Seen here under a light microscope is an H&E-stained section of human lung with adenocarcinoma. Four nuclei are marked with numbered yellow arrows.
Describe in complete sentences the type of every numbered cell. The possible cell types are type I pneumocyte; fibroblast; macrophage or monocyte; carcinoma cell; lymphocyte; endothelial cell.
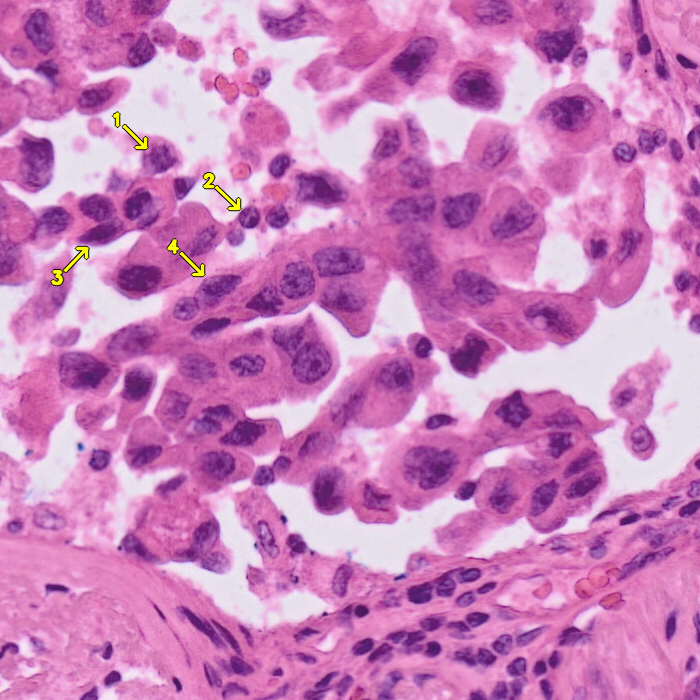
Cells 1, 3 and 4 are carcinoma cells. Cell 2 is a lymphocyte.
